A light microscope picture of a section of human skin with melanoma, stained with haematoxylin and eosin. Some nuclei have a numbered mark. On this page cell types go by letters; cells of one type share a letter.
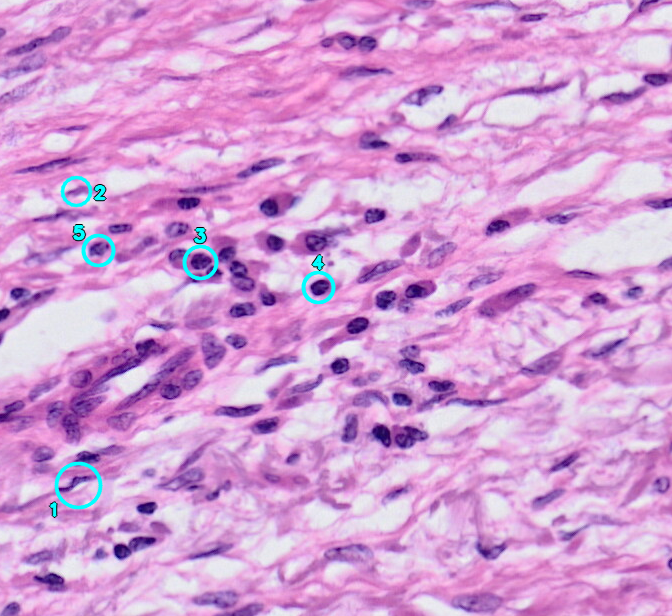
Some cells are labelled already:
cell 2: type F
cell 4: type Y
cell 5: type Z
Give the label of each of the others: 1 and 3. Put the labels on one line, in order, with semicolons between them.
type F; type Y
